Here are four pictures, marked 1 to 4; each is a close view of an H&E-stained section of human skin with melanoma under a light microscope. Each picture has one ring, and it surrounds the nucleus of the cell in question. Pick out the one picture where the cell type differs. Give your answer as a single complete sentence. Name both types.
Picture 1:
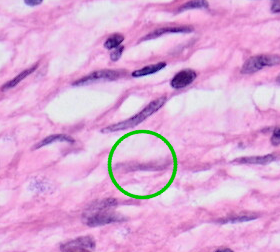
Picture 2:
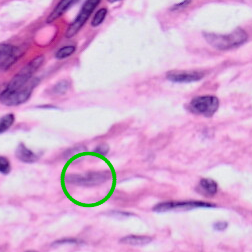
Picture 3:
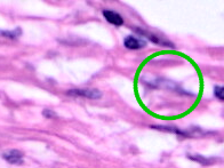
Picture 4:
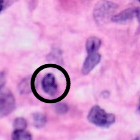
Picture 4 differs, because its cell is a lymphocyte and the rest are “fibroblasts or myofibroblasts”.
